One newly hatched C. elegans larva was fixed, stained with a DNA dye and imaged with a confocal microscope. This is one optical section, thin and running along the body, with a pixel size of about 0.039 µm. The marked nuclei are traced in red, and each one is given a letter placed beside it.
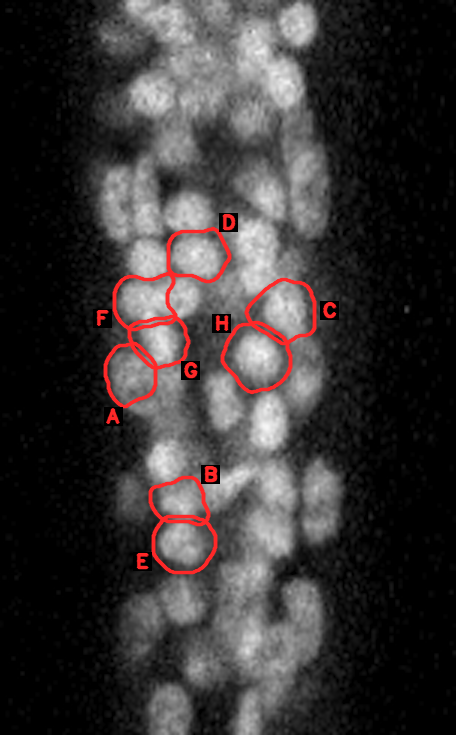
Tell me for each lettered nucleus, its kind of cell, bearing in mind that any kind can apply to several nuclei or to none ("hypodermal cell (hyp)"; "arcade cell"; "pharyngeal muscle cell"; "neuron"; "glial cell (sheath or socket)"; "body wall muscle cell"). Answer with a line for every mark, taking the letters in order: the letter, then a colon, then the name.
A: body wall muscle cell
B: hypodermal cell (hyp)
C: glial cell (sheath or socket)
D: neuron
E: arcade cell
F: neuron
G: glial cell (sheath or socket)
H: neuron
